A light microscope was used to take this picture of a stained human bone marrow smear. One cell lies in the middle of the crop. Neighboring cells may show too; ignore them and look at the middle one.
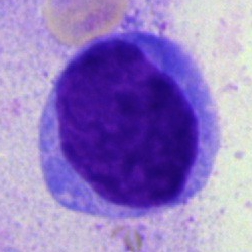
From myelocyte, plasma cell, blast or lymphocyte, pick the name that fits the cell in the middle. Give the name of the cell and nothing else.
blast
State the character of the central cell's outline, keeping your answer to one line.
Thanks for asking; the cell edge is smooth and has no projections.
